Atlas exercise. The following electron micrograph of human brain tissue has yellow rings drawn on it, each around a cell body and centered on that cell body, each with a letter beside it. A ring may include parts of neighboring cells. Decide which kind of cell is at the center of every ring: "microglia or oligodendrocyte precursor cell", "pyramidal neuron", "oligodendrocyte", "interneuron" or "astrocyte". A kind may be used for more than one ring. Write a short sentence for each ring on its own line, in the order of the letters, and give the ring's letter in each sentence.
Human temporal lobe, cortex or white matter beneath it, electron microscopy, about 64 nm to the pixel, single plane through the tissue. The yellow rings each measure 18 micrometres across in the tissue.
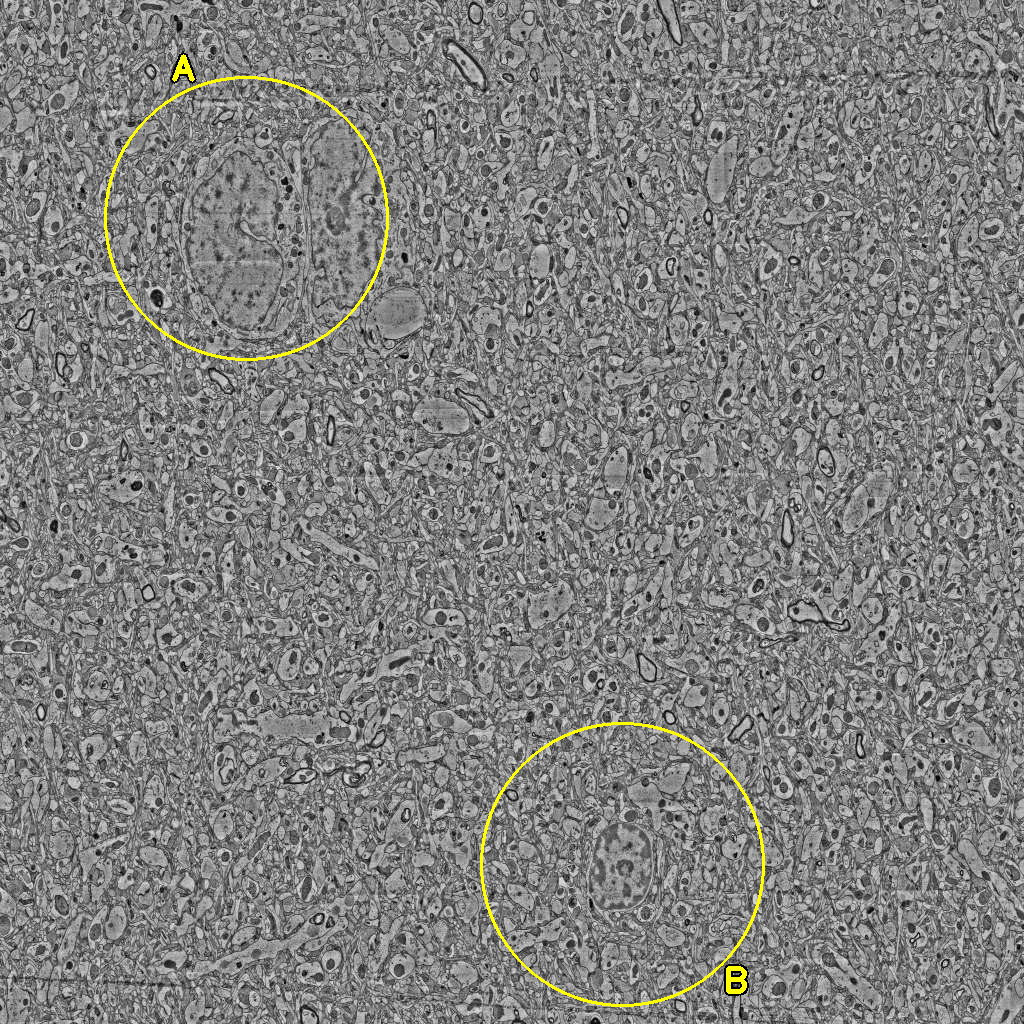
Ring A frames an interneuron at its center.
Ring B frames a microglial cell or oligodendrocyte precursor cell at its center.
